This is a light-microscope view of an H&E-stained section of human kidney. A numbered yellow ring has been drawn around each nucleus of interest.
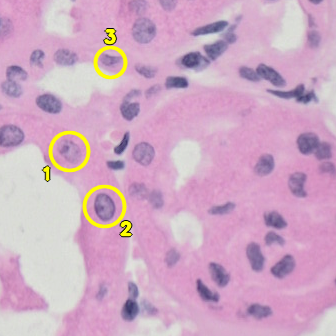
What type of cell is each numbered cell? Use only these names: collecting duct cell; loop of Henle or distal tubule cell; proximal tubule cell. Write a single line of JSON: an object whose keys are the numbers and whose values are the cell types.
{"1": "proximal tubule cell", "2": "proximal tubule cell", "3": "collecting duct cell"}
